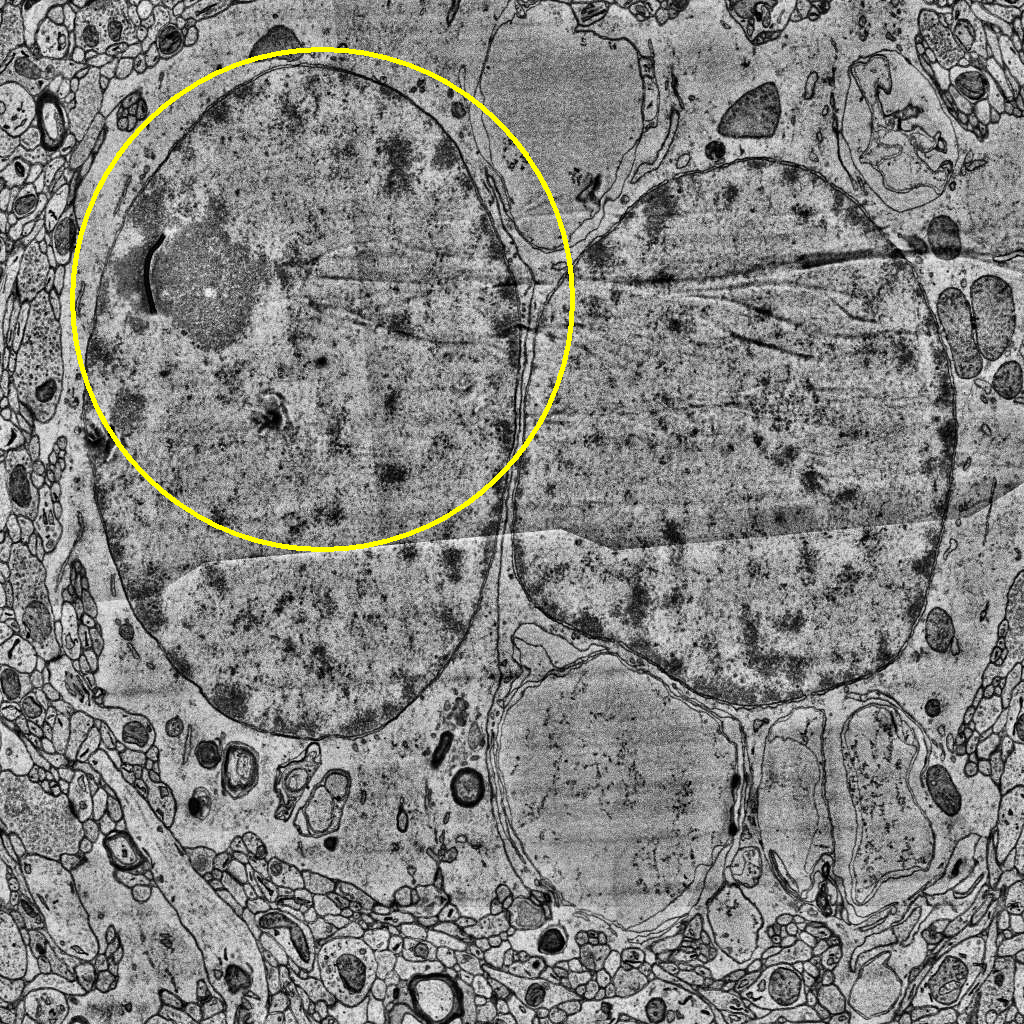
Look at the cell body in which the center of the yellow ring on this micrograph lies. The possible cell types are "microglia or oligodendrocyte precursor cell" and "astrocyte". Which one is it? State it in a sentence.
The cell at the middle of the ring is an astrocyte.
